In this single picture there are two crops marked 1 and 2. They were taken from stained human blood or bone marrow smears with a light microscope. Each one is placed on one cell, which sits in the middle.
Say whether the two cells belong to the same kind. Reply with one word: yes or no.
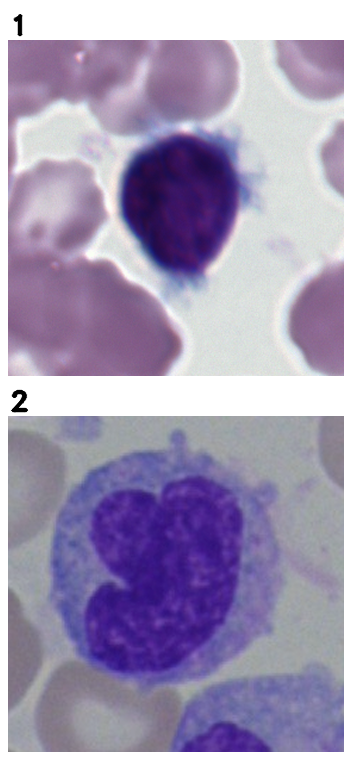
no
